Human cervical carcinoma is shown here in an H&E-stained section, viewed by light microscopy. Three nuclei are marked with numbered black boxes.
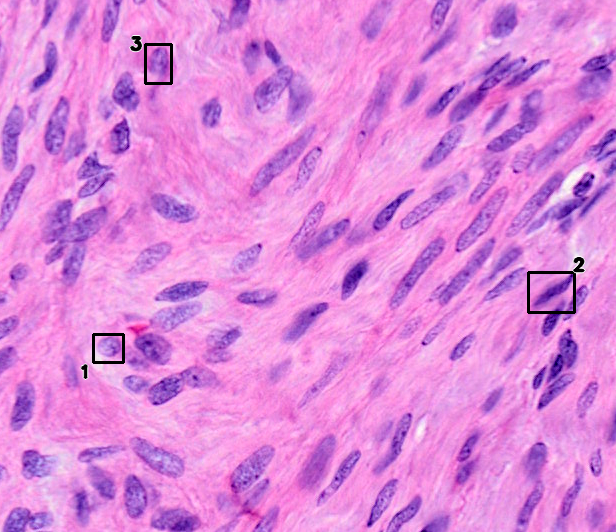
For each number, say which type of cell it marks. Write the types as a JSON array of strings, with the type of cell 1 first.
["endothelial cell", "fibroblast", "smooth muscle cell"]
